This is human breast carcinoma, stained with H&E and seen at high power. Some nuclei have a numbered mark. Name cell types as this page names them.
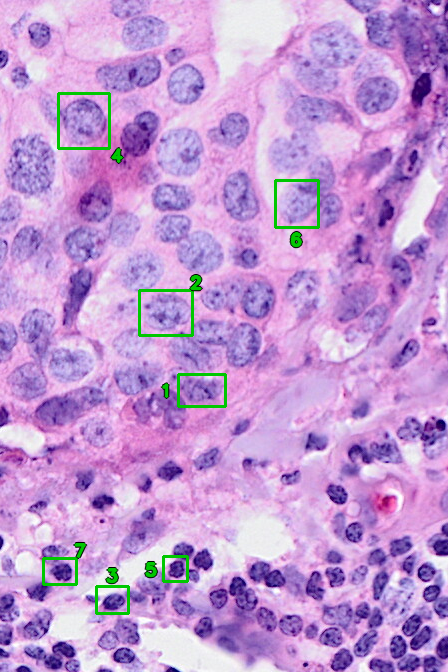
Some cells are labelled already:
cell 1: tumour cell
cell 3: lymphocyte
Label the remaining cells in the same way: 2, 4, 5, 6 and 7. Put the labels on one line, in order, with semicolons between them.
tumour cell; tumour cell; lymphocyte; tumour cell; lymphocyte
